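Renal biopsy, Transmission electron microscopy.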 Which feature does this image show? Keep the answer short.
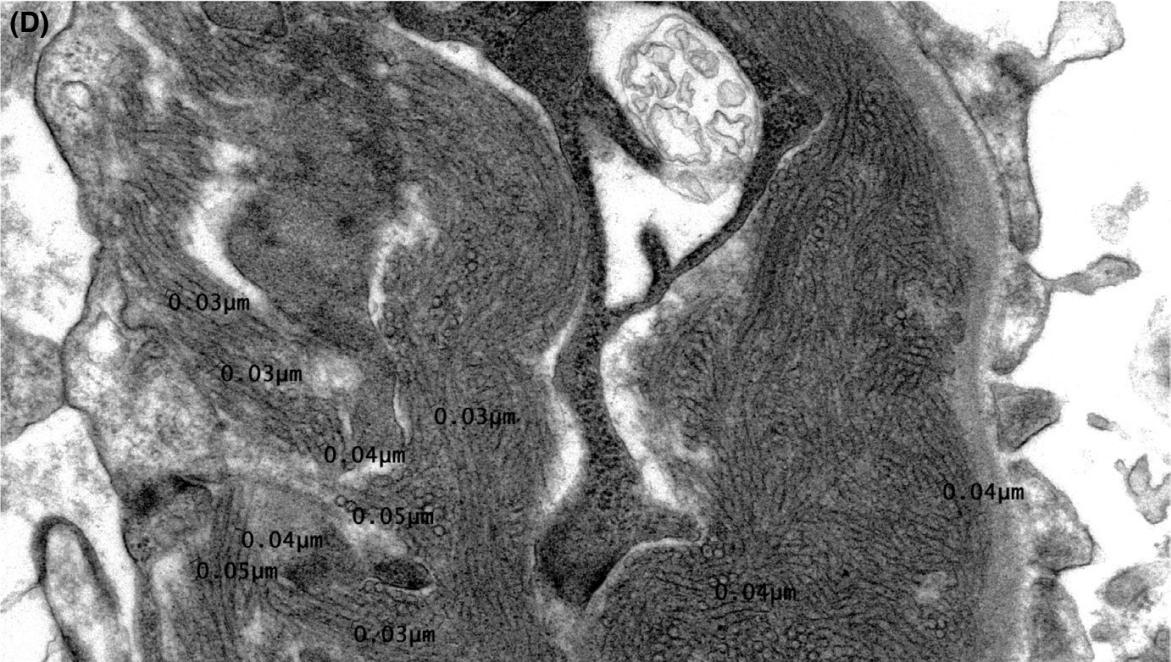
Microtubular structures.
